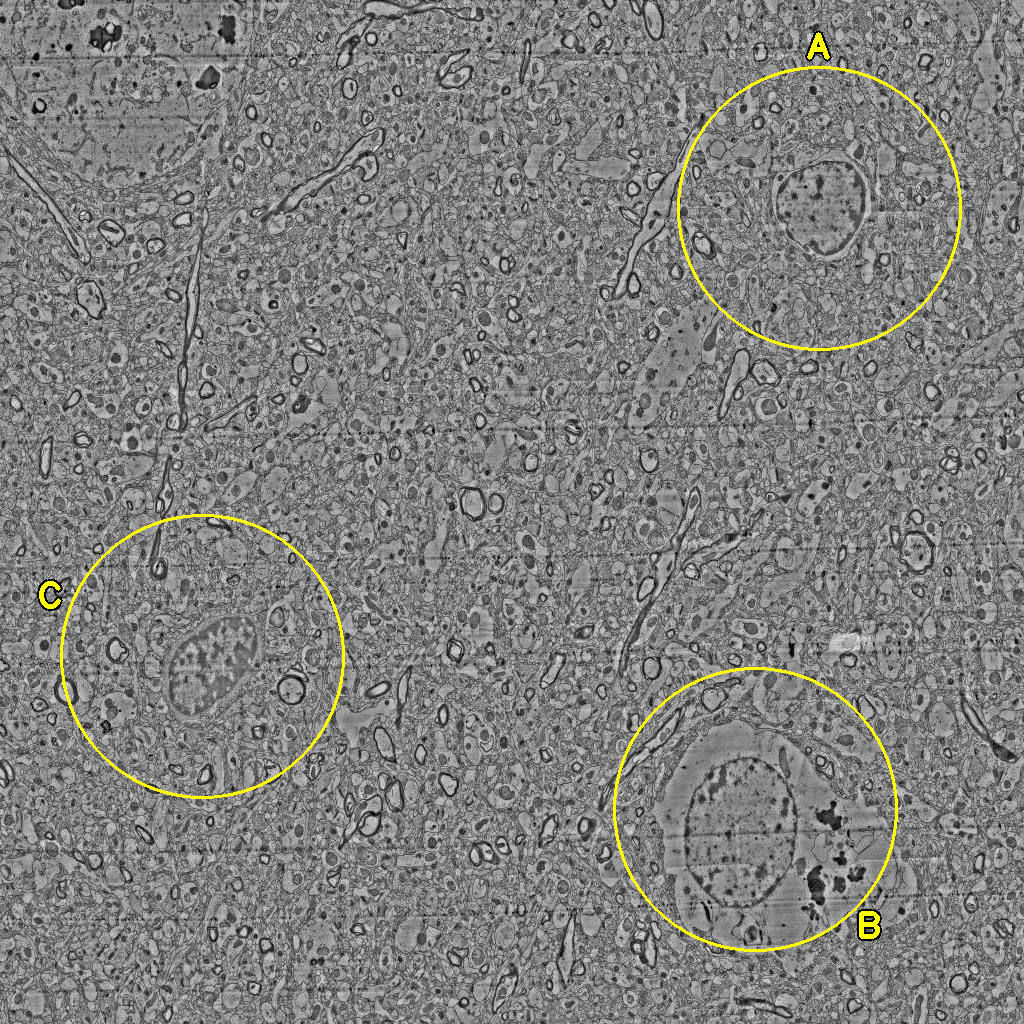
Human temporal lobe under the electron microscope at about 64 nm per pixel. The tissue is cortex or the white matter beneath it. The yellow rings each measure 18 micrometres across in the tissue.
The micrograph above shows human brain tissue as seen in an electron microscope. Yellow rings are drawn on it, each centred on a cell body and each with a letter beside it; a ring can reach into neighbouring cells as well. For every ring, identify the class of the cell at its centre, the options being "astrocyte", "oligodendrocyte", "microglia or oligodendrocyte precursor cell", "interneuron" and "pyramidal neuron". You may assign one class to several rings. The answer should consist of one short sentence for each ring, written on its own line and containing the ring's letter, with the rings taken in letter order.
The ring lettered A is centred on a microglial cell or oligodendrocyte precursor cell.
The ring lettered B is centred on an astrocyte.
The ring lettered C is centred on an oligodendrocyte.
